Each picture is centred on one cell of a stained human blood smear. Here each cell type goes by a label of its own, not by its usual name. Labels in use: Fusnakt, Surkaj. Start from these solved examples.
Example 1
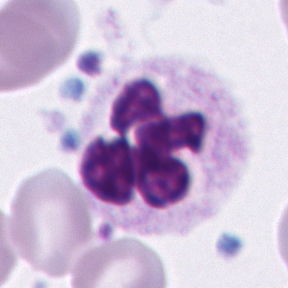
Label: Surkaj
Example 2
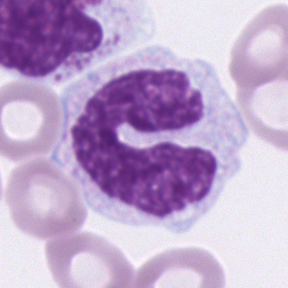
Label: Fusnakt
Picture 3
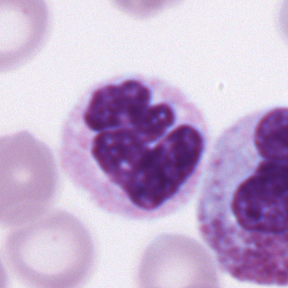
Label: Surkaj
